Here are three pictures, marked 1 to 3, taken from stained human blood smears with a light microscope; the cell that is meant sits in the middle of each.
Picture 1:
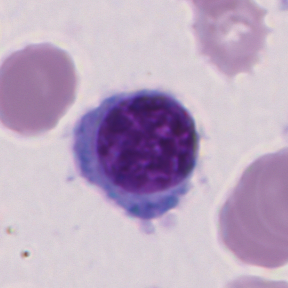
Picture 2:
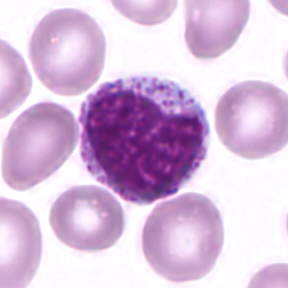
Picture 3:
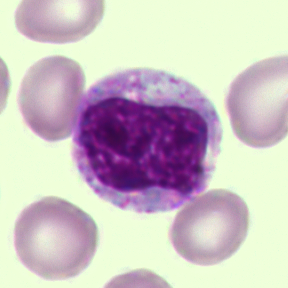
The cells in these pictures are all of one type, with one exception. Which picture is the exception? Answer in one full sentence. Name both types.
All pictures except 1 show metamyelocytes; picture 1 shows a plasma cell.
